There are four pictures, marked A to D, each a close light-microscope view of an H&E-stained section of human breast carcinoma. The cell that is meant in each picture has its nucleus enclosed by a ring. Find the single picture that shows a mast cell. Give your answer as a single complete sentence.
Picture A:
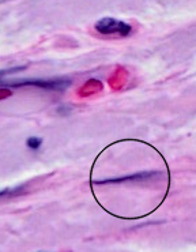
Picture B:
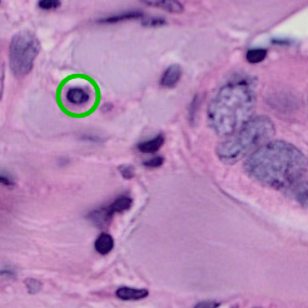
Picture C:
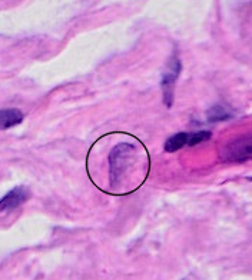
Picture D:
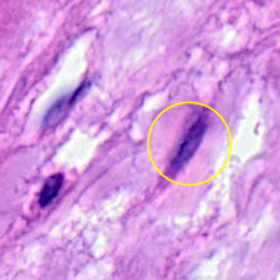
It is picture B that shows the mast cell.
